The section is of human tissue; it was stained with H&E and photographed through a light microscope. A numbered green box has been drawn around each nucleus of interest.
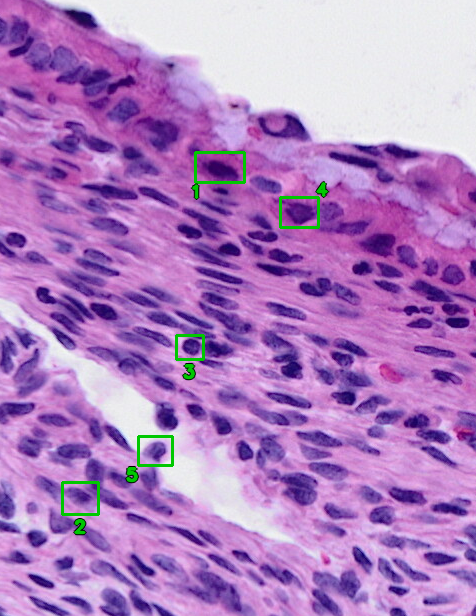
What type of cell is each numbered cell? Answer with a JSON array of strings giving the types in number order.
["secretory epithelial cell", "fibroblast", "lymphocyte", "secretory epithelial cell", "lymphocyte"]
